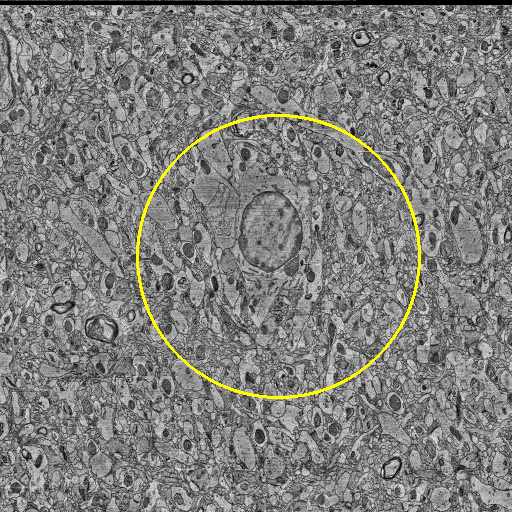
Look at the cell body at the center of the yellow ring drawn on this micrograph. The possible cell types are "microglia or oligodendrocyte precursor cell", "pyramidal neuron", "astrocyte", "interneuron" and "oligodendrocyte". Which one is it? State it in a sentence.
The cell in the middle of the ring is a microglial cell or oligodendrocyte precursor cell.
